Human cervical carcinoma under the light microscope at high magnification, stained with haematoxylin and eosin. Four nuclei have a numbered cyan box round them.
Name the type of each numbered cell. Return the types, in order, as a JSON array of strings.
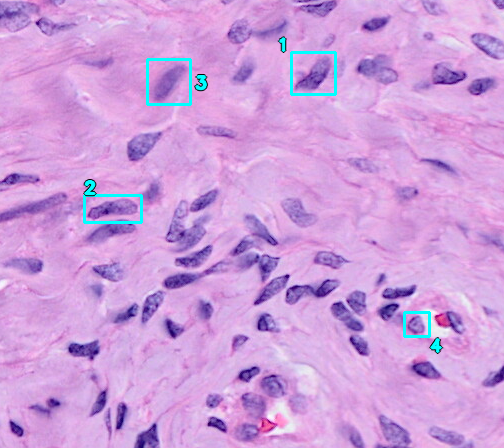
["fibroblast", "fibroblast", "fibroblast", "endothelial cell"]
